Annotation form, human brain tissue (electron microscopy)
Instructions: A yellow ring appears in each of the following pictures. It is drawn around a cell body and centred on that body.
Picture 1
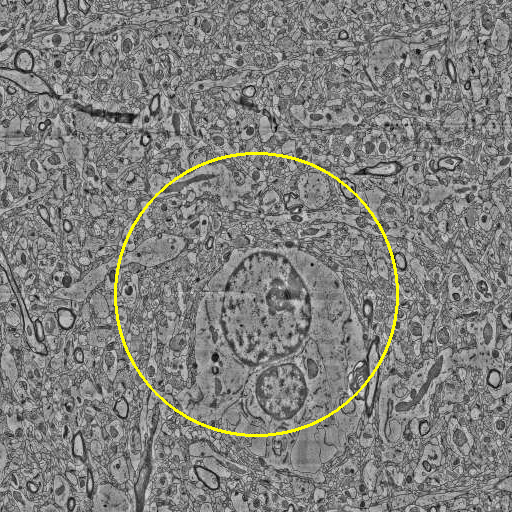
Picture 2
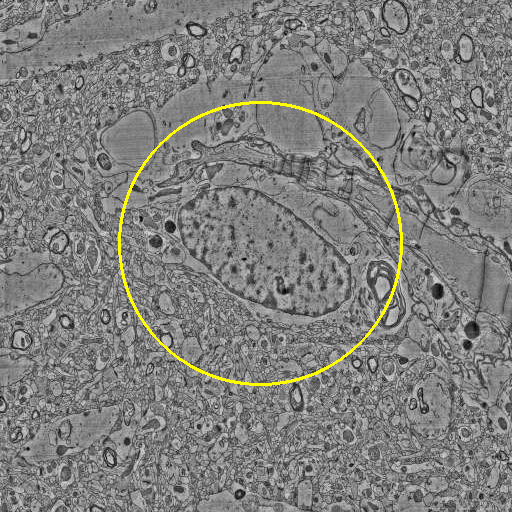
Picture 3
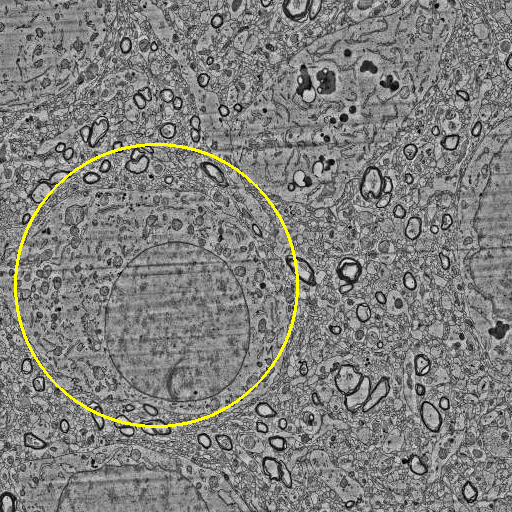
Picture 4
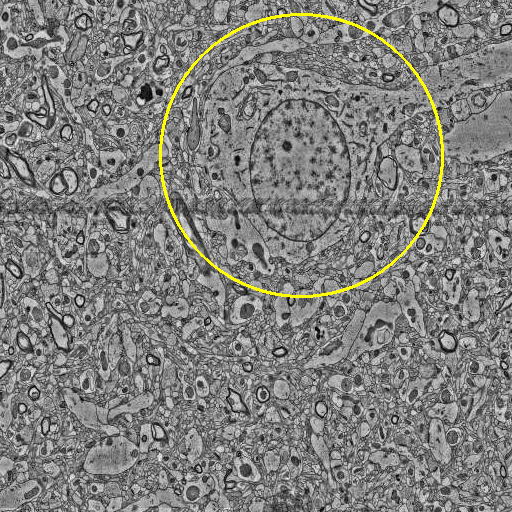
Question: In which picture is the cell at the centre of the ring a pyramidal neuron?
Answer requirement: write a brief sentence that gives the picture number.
The cell at the centre of the ring in Picture 4 is the one asked for.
